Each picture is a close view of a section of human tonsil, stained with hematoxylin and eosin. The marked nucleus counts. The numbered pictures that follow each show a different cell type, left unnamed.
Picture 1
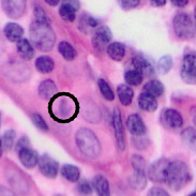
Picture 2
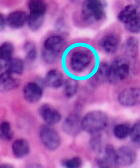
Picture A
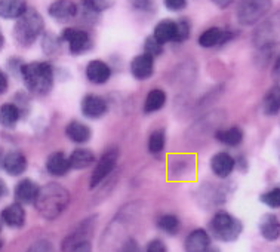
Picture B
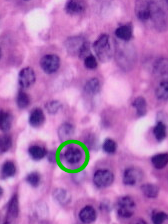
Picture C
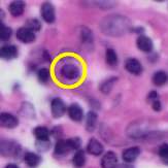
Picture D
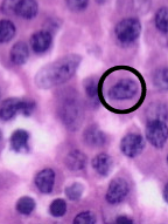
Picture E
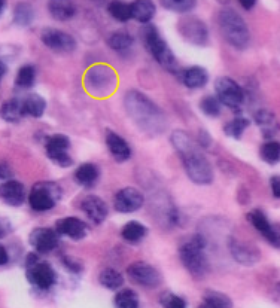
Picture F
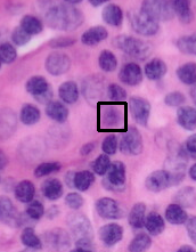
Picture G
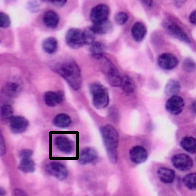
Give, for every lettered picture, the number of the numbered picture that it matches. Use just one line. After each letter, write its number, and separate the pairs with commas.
A 1, B 2, C 1, D 2, E 1, F 1, G 2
